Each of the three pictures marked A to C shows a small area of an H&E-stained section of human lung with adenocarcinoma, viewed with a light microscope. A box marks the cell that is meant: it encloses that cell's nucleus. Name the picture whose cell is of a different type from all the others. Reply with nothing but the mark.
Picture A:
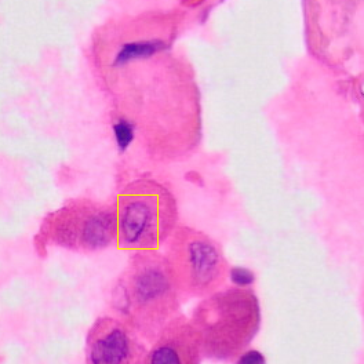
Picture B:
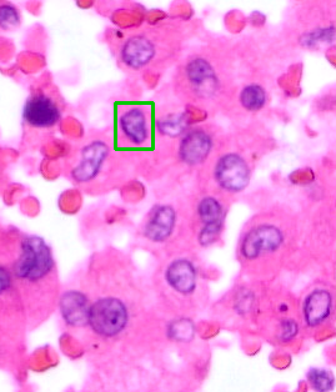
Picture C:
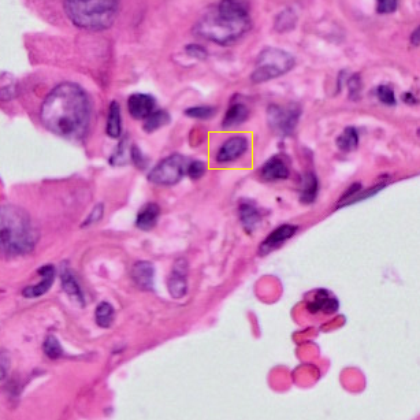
C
